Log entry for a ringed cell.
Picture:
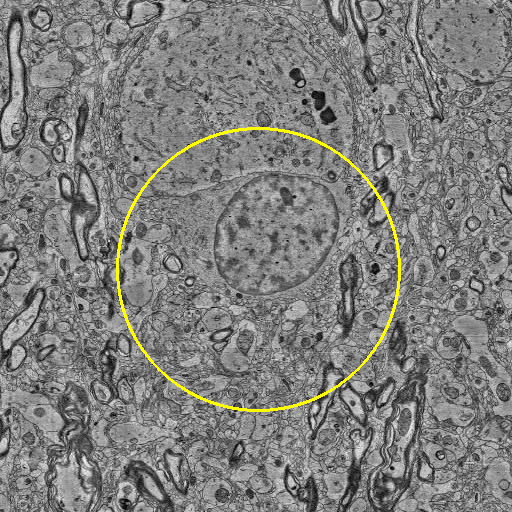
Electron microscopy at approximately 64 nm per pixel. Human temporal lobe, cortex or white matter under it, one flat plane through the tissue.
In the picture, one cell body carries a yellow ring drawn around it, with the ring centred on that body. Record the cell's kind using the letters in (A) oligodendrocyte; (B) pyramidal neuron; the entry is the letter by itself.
A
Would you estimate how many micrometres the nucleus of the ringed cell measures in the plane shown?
Roughly 9 by 7 micrometres in this plane, for the nucleus of the ringed cell.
